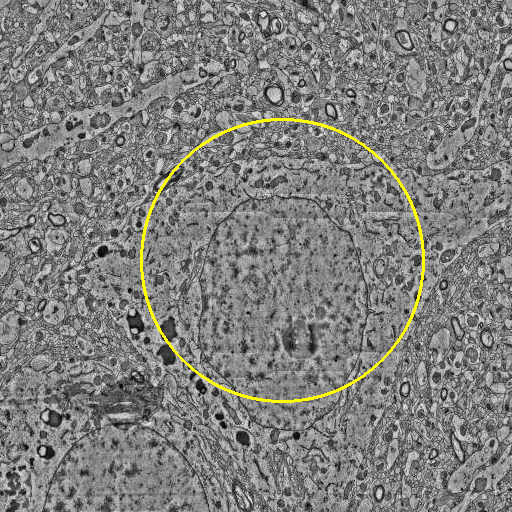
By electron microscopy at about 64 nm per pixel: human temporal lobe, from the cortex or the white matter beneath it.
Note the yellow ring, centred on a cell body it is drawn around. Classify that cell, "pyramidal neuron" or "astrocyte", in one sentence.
The cell the ring is centred on is a pyramidal neuron.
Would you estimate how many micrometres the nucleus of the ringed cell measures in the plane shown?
In this plane, about 15 micrometres in length and 11 in width.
